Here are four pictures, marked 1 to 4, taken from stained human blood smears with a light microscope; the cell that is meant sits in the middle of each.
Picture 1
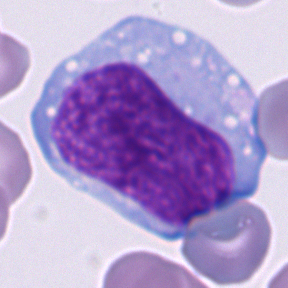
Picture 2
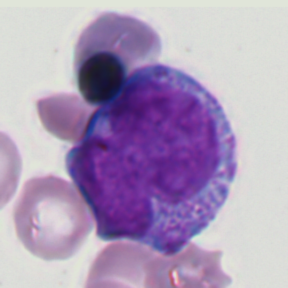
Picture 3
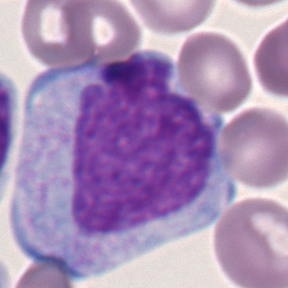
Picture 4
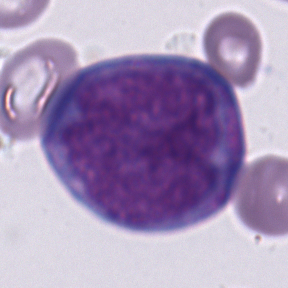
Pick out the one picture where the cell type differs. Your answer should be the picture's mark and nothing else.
1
